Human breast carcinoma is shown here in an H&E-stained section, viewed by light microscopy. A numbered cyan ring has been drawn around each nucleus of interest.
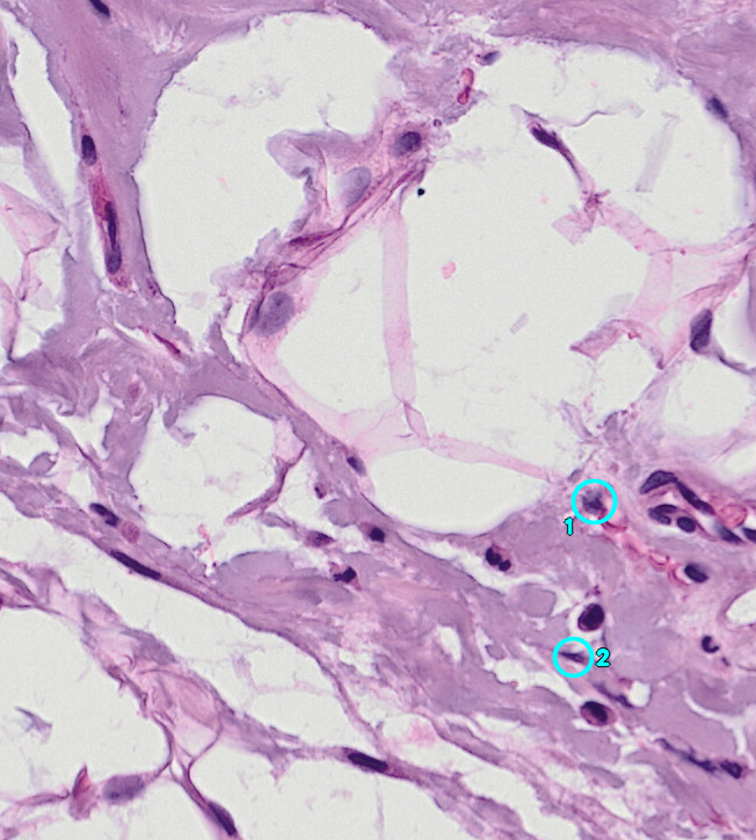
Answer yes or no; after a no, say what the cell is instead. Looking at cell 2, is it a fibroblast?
Yes.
